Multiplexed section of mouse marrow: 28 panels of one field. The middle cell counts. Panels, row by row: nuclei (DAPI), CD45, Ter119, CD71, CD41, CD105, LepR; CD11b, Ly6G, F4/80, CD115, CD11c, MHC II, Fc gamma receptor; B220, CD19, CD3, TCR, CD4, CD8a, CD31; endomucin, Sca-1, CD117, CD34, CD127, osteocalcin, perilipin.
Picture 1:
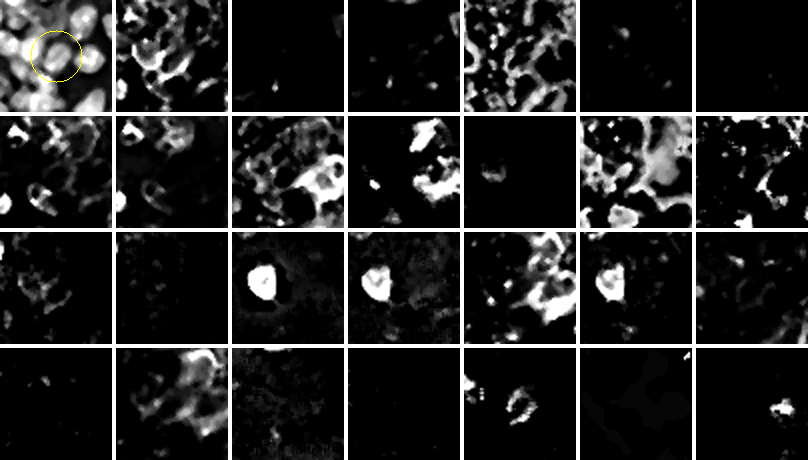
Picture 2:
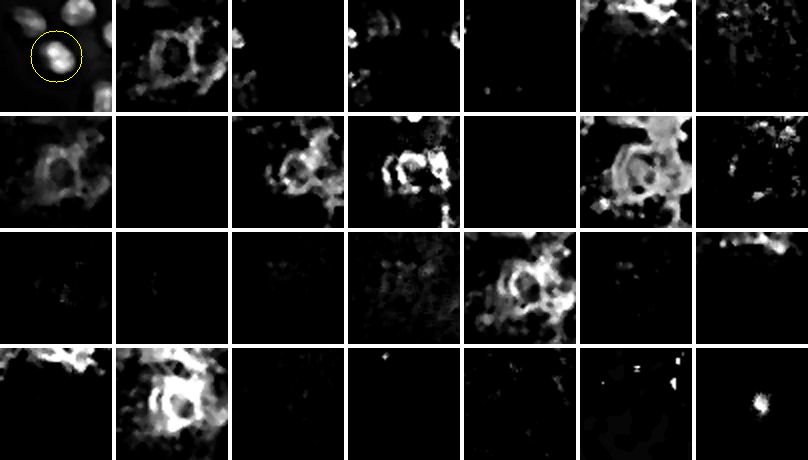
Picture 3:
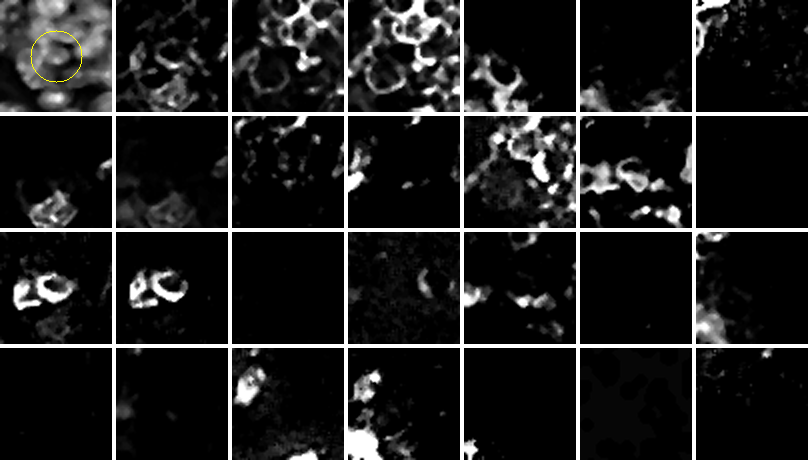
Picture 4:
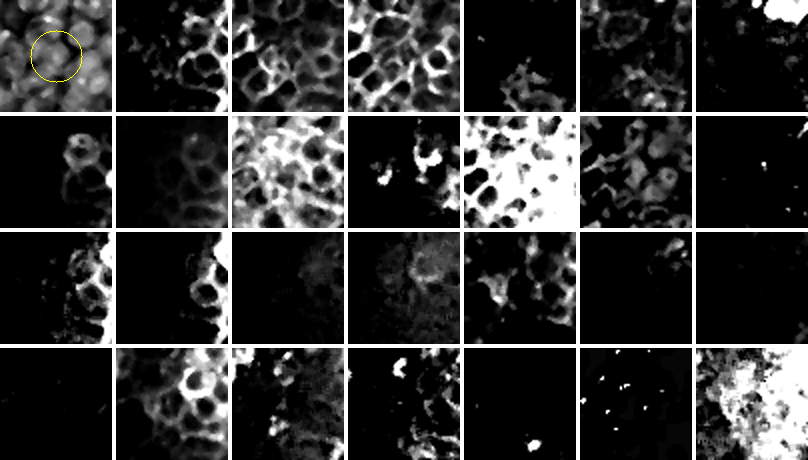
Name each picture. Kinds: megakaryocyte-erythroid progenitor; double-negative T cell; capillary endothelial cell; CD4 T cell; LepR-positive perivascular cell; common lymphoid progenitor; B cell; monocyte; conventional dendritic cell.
1. common lymphoid progenitor
2. monocyte
3. B cell
4. conventional dendritic cell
